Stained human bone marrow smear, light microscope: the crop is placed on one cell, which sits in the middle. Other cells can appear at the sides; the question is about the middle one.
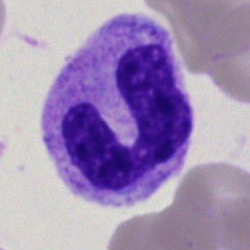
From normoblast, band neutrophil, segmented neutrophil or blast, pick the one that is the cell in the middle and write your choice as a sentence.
At the crop's centre, the cell is a band neutrophil.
